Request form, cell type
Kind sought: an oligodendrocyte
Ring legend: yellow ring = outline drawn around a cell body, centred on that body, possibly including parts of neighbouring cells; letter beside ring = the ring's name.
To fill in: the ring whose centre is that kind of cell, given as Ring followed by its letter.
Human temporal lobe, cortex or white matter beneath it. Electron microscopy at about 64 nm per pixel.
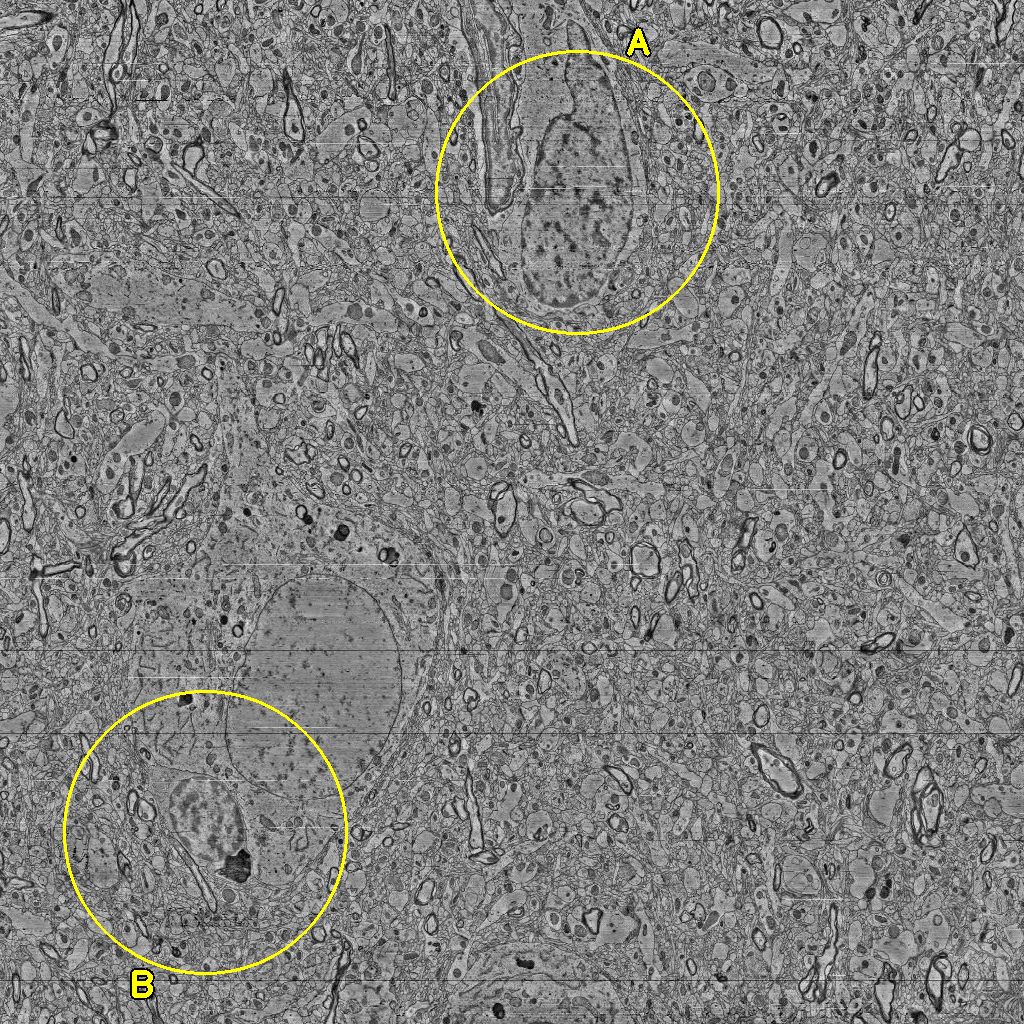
Ring B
